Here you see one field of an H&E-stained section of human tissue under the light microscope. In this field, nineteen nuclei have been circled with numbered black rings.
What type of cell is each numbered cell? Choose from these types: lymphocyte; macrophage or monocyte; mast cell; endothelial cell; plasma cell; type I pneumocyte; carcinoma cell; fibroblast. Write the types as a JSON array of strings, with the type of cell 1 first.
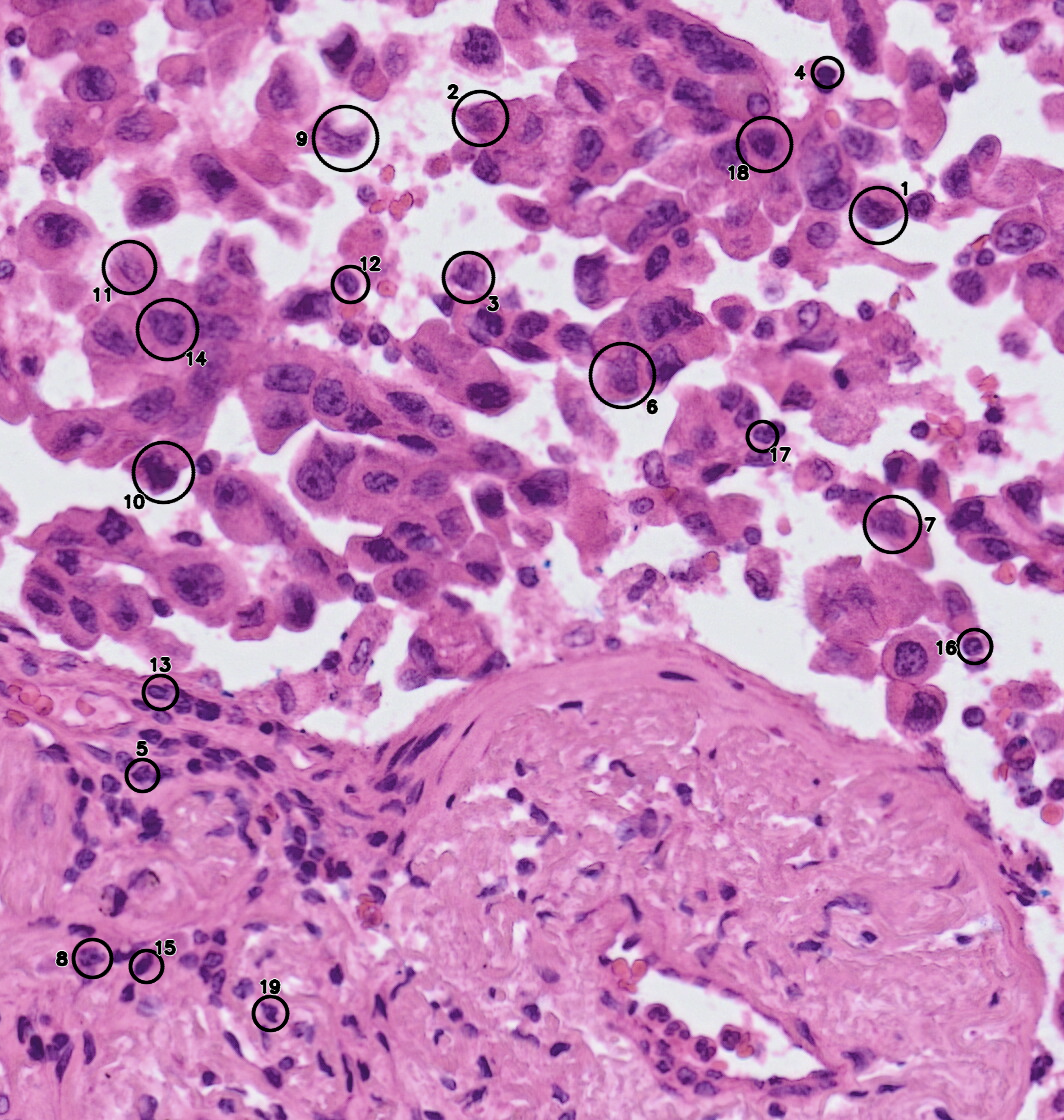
["carcinoma cell", "carcinoma cell", "carcinoma cell", "lymphocyte", "lymphocyte", "carcinoma cell", "carcinoma cell", "plasma cell", "carcinoma cell", "carcinoma cell", "carcinoma cell", "lymphocyte", "lymphocyte", "carcinoma cell", "plasma cell", "lymphocyte", "lymphocyte", "carcinoma cell", "lymphocyte"]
